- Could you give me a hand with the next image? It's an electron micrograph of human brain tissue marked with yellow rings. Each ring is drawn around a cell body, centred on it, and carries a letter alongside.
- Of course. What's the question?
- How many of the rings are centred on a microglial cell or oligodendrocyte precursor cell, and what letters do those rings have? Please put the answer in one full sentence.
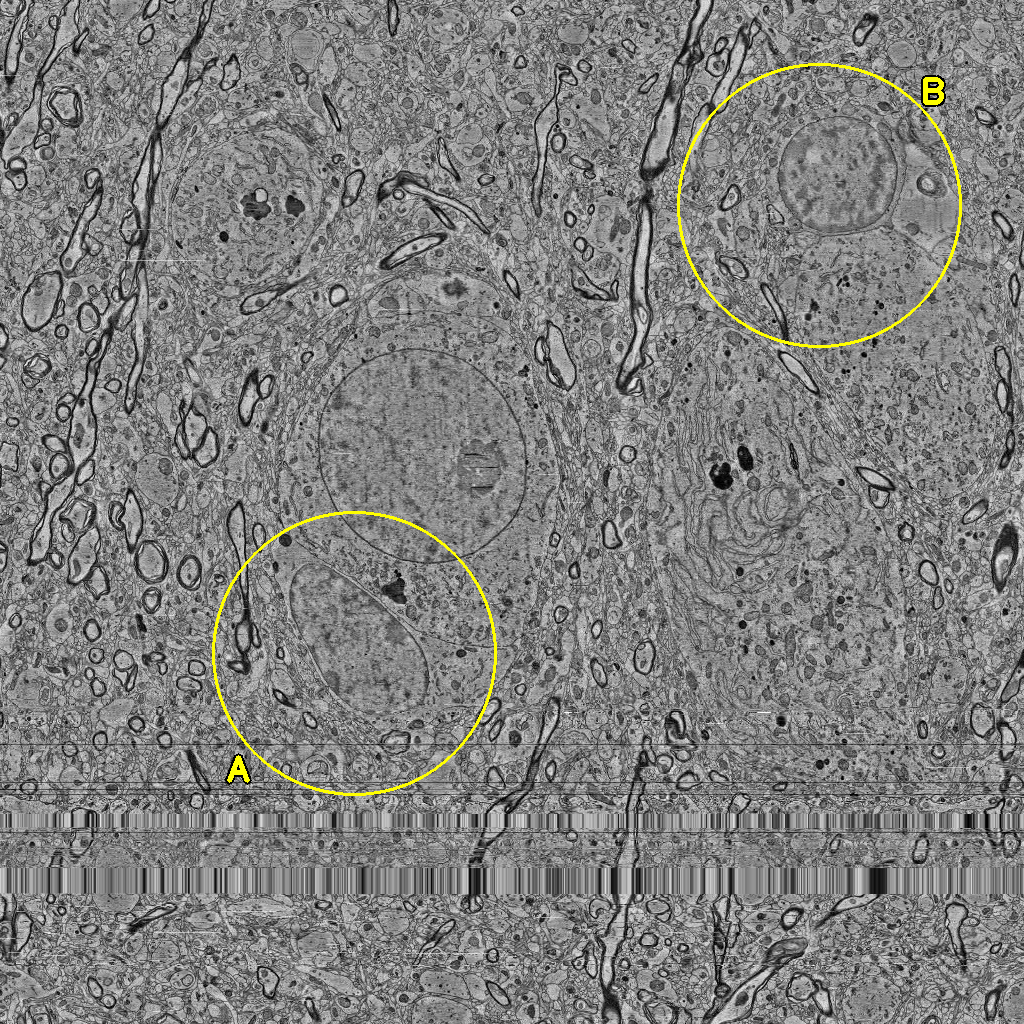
The ring labelled A is the only one centred on a microglial cell or oligodendrocyte precursor cell.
